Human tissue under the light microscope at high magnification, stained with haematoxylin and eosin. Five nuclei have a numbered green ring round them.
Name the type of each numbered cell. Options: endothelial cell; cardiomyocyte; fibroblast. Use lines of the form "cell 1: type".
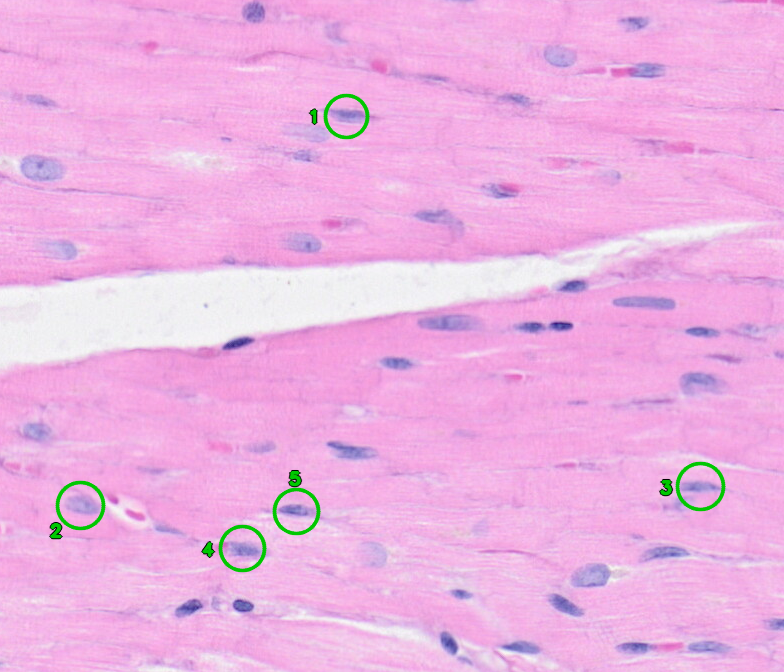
cell 1: endothelial cell
cell 2: cardiomyocyte
cell 3: fibroblast
cell 4: endothelial cell
cell 5: endothelial cell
